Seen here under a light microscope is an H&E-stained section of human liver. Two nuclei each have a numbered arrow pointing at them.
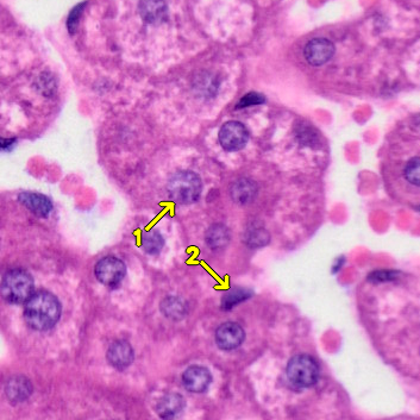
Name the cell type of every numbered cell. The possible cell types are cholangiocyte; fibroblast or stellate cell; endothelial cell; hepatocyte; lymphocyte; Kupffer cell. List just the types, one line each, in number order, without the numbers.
hepatocyte
fibroblast or stellate cell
